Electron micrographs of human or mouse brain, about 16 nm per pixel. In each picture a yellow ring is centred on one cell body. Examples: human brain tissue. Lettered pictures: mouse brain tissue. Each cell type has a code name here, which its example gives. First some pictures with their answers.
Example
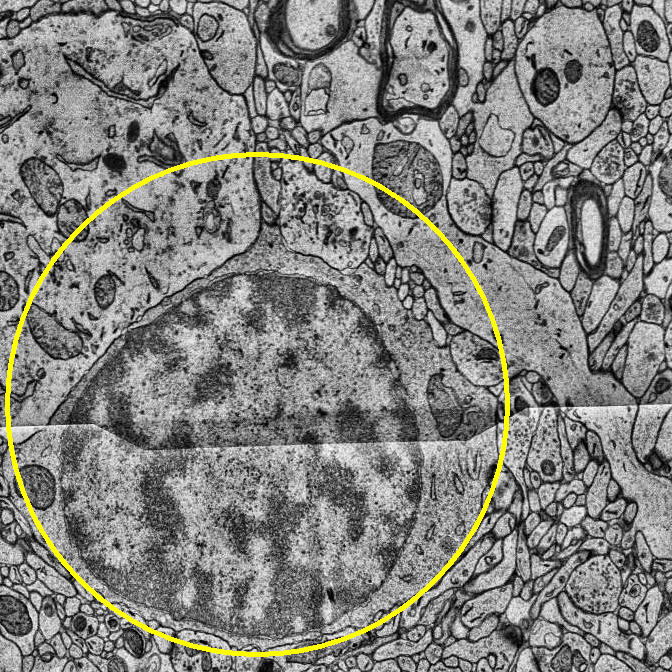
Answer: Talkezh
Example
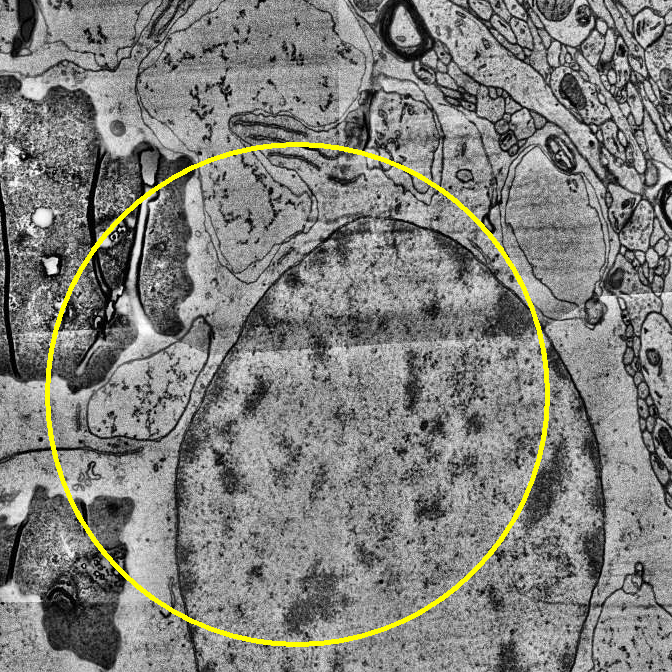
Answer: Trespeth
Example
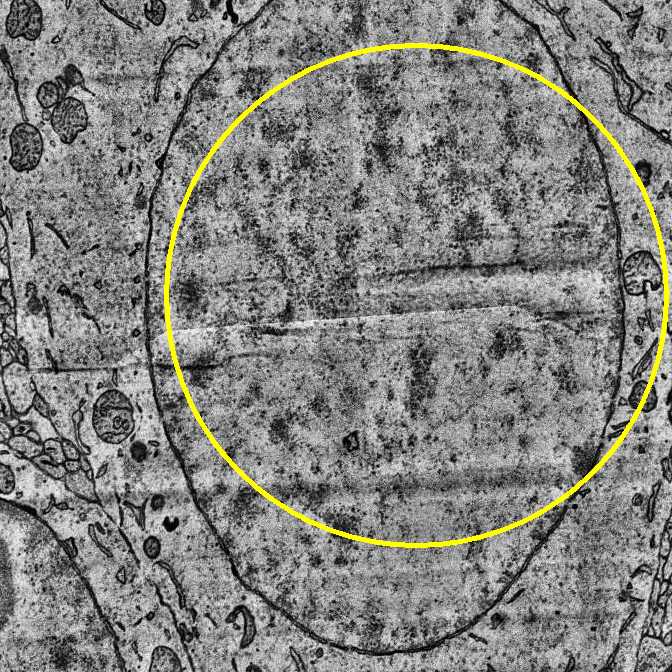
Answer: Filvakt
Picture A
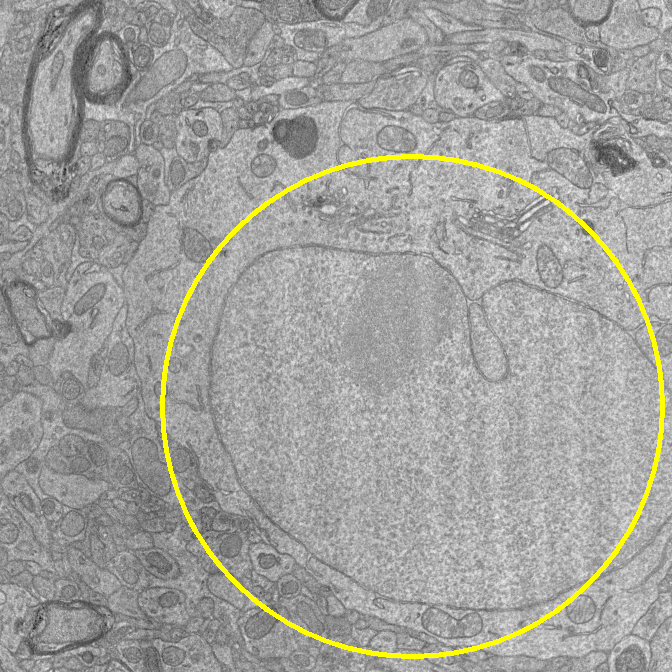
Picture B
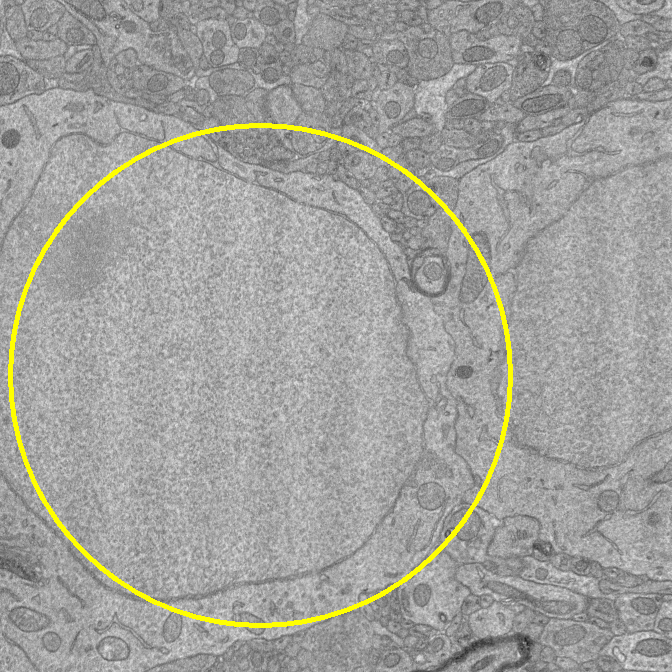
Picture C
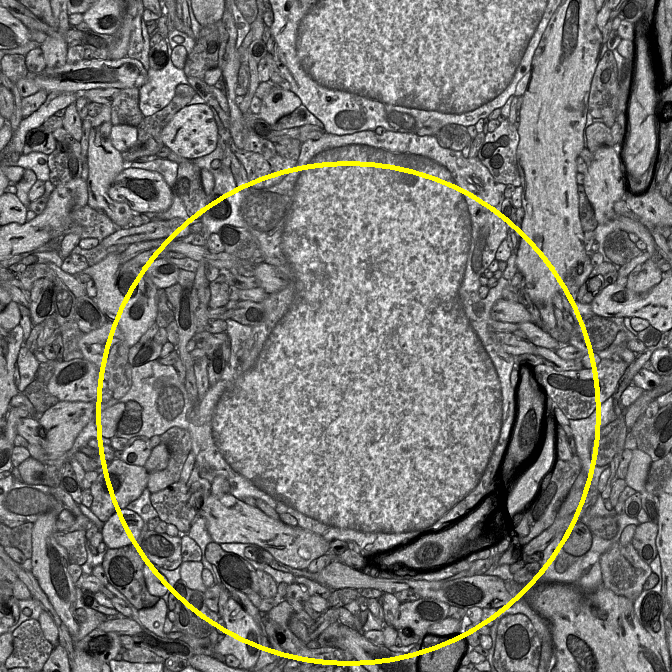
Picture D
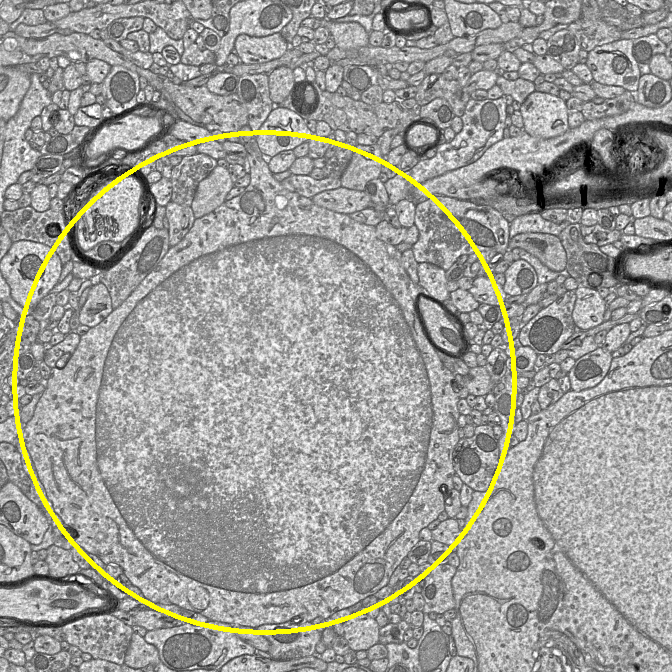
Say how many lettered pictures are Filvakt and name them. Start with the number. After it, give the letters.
2, namely A, B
